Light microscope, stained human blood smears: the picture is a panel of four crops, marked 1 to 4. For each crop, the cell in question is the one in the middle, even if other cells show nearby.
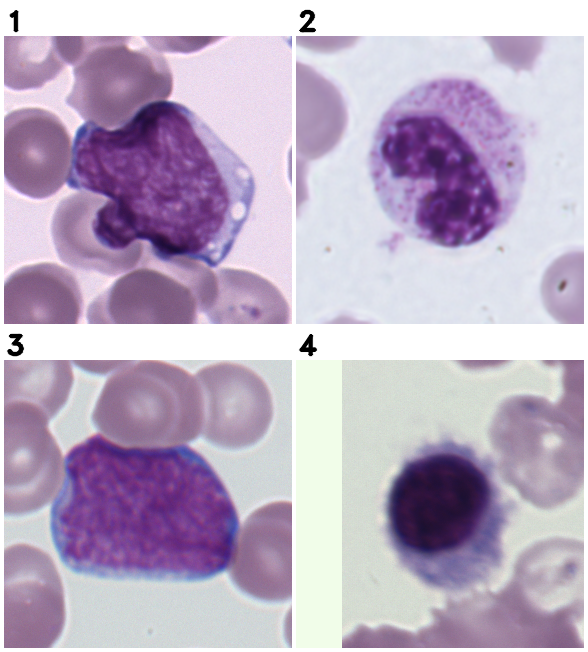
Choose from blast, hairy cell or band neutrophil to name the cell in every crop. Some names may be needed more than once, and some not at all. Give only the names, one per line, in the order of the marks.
blast
band neutrophil
blast
hairy cell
